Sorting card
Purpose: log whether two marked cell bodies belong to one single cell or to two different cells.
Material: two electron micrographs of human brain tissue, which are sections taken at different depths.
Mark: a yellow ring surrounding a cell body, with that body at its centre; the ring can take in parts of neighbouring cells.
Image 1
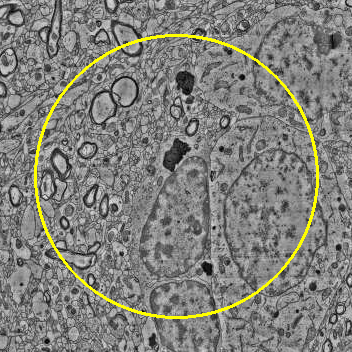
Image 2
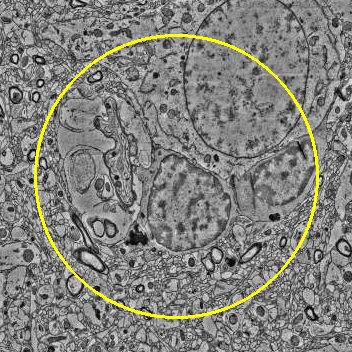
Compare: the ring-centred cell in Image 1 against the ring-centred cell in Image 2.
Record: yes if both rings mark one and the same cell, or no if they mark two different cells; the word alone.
no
